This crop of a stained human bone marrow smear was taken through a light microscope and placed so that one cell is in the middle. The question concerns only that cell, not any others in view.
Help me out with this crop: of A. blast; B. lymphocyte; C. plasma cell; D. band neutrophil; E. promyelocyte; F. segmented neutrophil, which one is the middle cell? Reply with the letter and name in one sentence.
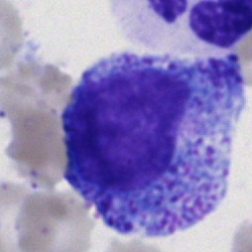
Identified correctly by option E, the cell in the middle is a promyelocyte.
